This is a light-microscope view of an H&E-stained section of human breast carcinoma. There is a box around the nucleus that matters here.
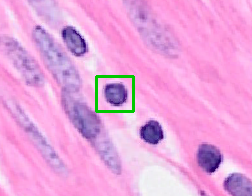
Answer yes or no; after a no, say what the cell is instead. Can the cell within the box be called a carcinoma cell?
No, it is a lymphocyte.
